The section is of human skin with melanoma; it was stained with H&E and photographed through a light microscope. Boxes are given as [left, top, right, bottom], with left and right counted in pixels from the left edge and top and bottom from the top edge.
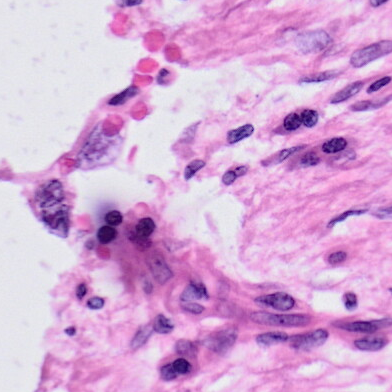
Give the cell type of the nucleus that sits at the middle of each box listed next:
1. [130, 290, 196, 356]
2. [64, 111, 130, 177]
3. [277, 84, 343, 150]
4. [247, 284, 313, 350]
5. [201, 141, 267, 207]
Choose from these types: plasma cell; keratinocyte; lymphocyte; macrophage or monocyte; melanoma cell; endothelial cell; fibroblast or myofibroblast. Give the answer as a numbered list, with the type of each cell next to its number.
1. lymphocyte
2. melanoma cell
3. plasma cell
4. endothelial cell
5. macrophage or monocyte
